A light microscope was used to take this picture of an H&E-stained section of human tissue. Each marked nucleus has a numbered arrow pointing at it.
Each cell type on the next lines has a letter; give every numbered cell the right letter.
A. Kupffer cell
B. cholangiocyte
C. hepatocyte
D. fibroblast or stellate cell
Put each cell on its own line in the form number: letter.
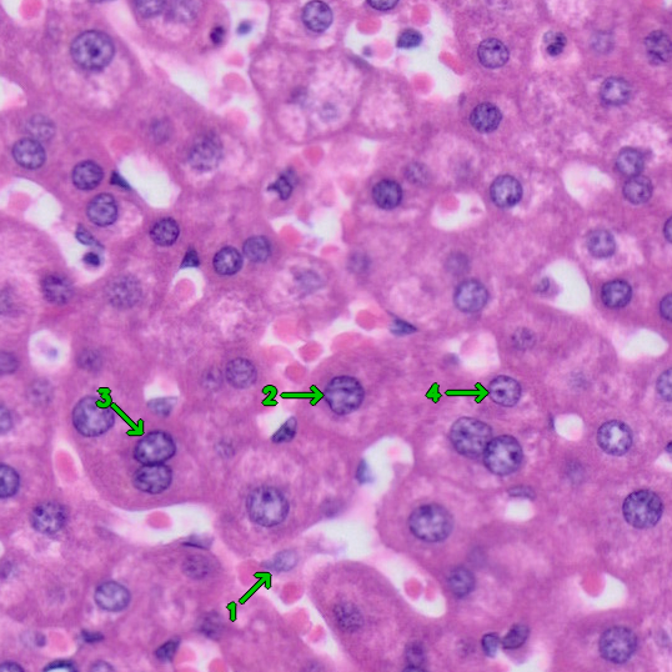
1: A
2: C
3: C
4: C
